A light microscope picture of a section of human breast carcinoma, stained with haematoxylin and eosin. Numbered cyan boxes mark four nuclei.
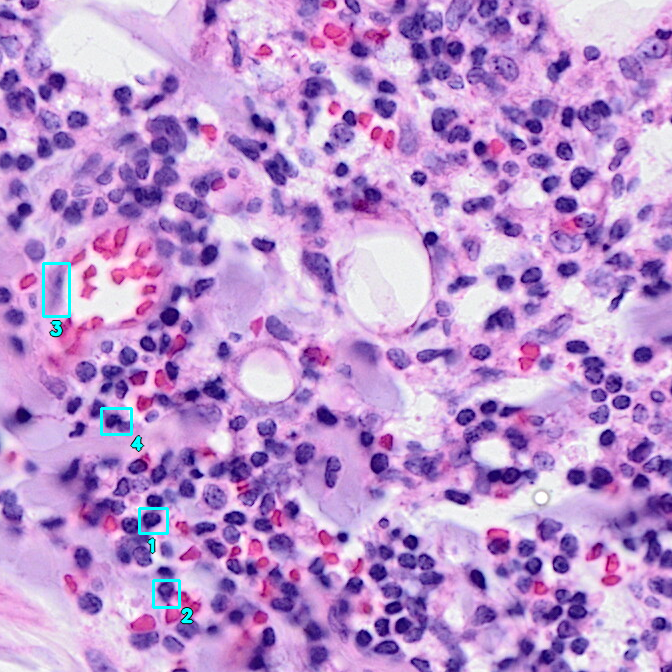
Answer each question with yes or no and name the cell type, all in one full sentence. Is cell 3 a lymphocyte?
No, number 3 is not a lymphocyte but an endothelial cell.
